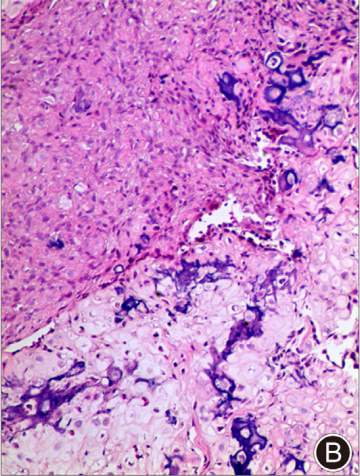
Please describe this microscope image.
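The upper half is densely cellular, with ovoid to spindle-shaped cells that have variably sized, atypical nuclei set in pink eosinophilic matrix. The lower half is paler and lobular, with rounded cells lying in lacunae within a pale, glassy cartilage-like matrix. Irregular, branching dark purple deposits run through the matrix as strands and small trabecular pieces. They are densest along the border between the two zones and within the paler lower area. A thin cleft-like space separates parts of the two zones.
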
